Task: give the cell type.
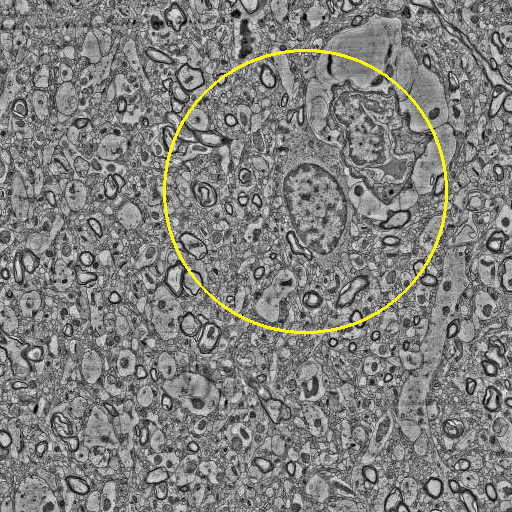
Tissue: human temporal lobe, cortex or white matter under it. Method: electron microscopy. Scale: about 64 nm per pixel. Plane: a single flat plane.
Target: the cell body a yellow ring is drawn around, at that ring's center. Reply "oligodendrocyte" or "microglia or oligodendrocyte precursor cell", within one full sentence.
In this picture, the cell whose body lies at the ring's center is an oligodendrocyte.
